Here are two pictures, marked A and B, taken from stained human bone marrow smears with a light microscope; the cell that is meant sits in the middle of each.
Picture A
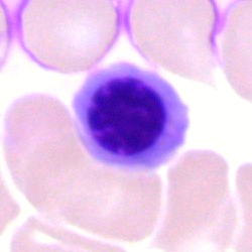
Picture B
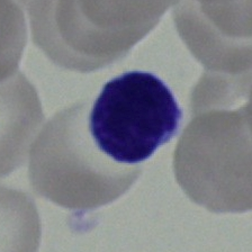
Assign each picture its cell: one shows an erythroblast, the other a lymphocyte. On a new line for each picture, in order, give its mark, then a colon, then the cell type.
A: erythroblast
B: lymphocyte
